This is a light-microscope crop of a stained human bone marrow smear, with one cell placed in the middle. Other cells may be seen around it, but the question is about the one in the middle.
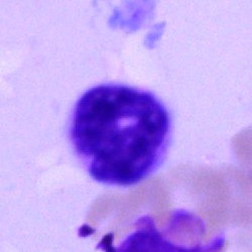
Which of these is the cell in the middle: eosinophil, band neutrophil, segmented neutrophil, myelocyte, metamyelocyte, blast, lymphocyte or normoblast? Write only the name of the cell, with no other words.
segmented neutrophil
